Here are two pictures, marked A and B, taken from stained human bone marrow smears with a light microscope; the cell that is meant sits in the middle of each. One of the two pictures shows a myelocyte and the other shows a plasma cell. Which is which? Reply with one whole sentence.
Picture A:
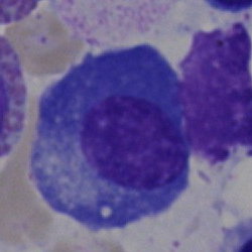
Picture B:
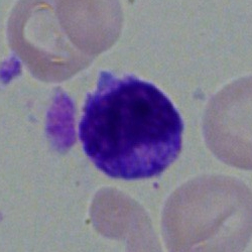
Picture A is of a plasma cell, and picture B is of a myelocyte.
